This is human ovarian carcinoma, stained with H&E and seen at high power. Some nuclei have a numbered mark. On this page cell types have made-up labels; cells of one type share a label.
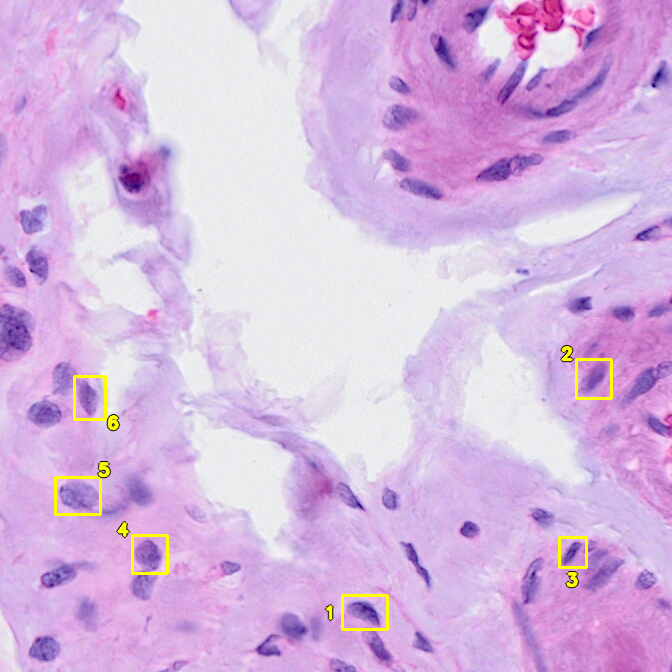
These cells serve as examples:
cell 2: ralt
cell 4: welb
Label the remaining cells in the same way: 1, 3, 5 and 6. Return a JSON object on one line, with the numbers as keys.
{"1": "welb", "3": "ralt", "5": "welb", "6": "welb"}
